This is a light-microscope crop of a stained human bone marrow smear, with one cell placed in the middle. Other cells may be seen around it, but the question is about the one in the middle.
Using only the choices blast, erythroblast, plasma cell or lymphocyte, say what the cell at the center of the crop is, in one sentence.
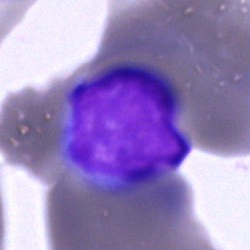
The centered cell in this crop is a lymphocyte.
